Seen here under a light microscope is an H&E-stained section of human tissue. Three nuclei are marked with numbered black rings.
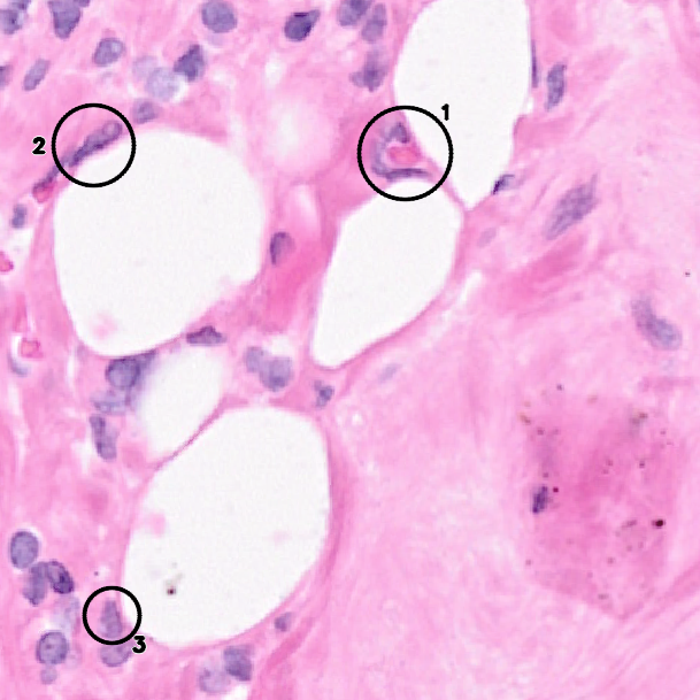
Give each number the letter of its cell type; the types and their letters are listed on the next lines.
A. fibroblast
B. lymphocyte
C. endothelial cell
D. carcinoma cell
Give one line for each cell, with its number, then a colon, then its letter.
1: C
2: C
3: D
